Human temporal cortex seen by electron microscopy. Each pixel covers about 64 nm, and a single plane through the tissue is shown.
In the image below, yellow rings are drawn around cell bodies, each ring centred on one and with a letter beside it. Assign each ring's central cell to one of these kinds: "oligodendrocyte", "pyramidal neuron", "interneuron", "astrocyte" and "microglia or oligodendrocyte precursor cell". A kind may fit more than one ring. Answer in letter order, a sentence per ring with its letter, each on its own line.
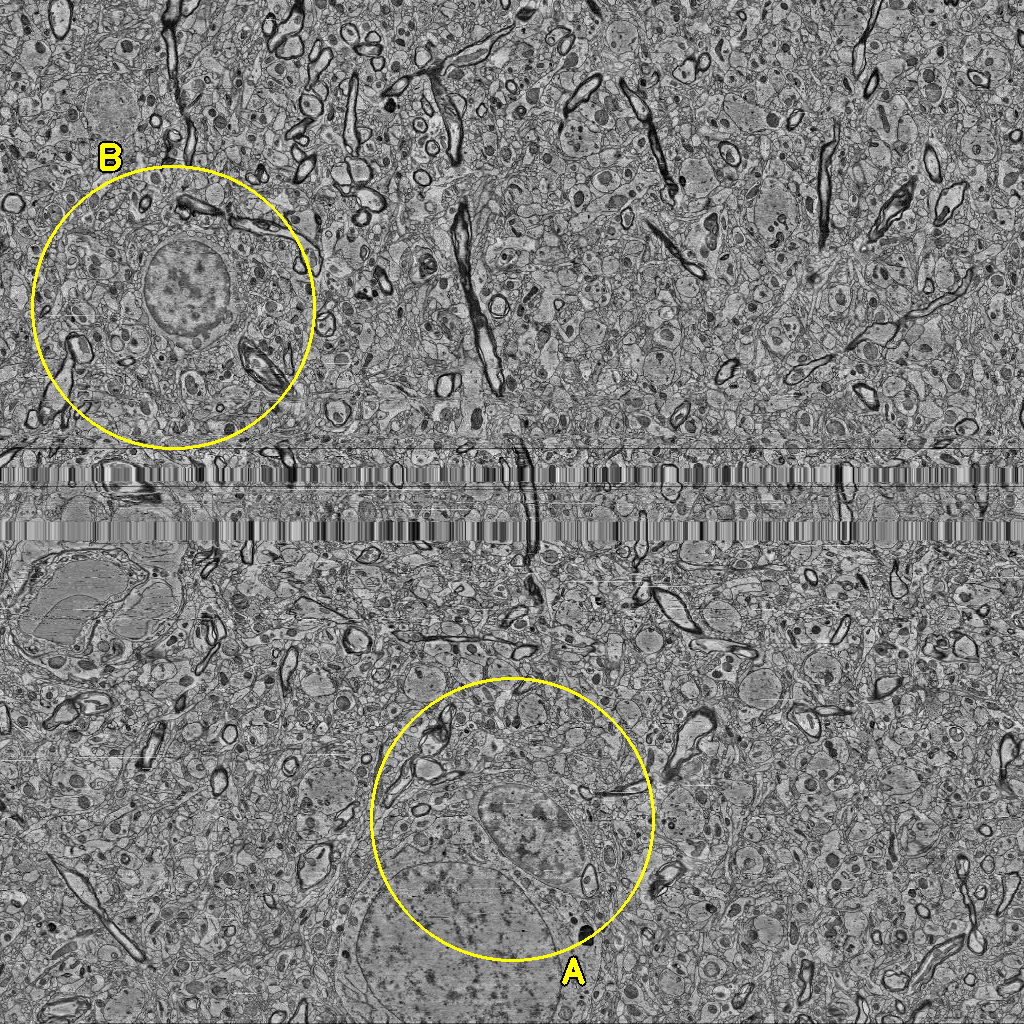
The central cell of ring A is an oligodendrocyte.
The central cell of ring B is an oligodendrocyte.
